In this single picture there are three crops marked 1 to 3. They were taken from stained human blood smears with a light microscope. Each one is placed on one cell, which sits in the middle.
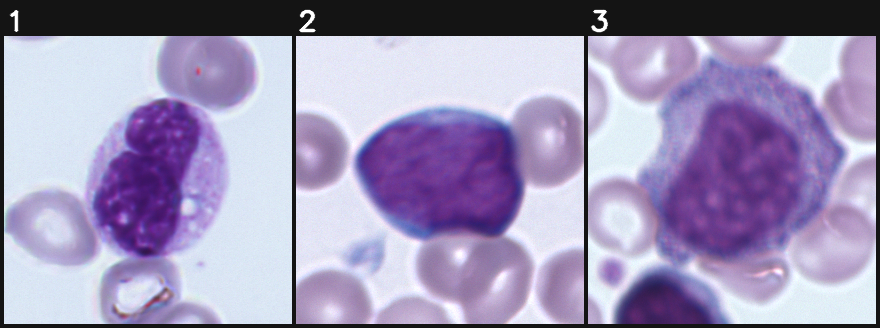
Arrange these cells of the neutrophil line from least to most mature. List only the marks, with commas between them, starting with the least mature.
2, 3, 1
